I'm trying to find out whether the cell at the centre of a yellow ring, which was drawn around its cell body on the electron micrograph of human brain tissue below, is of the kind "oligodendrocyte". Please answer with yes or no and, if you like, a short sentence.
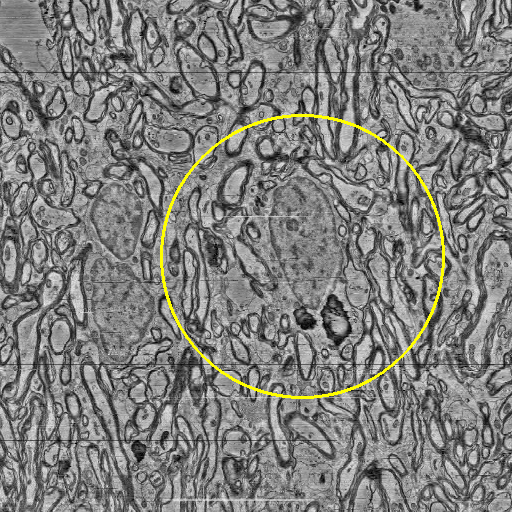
Yes, that cell is of the given kind.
